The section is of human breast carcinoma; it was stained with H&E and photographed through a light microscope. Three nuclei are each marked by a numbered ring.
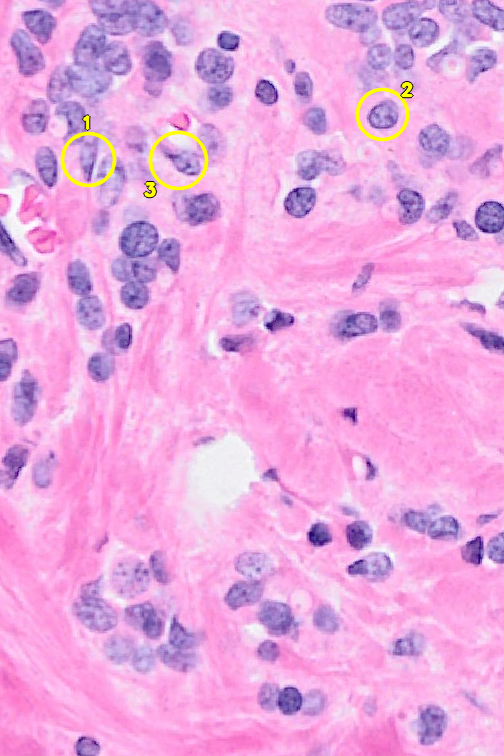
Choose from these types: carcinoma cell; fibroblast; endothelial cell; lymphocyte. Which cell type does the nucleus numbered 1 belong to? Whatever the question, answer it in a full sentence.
The cell marked with the number 1 is an endothelial cell.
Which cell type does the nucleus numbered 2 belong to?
The cell carrying label 2 is identified as a carcinoma cell.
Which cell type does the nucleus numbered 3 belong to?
The cell to which the number 3 is assigned is an endothelial cell.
